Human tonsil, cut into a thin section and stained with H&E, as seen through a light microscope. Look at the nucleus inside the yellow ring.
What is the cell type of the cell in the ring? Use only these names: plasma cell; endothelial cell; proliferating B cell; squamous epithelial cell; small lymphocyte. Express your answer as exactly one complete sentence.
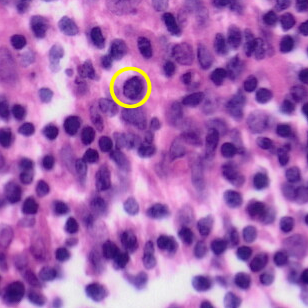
Considered by cell type, the cell in the ring is a proliferating B cell.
